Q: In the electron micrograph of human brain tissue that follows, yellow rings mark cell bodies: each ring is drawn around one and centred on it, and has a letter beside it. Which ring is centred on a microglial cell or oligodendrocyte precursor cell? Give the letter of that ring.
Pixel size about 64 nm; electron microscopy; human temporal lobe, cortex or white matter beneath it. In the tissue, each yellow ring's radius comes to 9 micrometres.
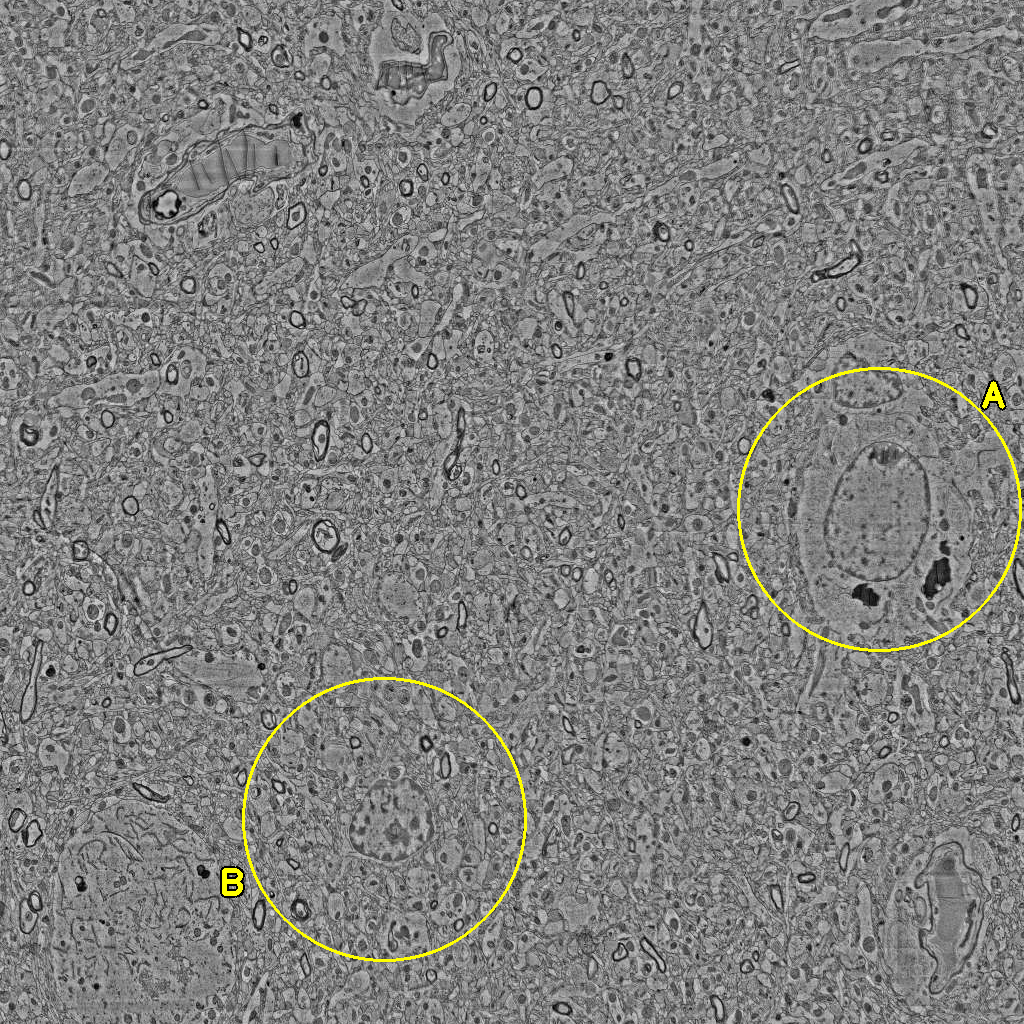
B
